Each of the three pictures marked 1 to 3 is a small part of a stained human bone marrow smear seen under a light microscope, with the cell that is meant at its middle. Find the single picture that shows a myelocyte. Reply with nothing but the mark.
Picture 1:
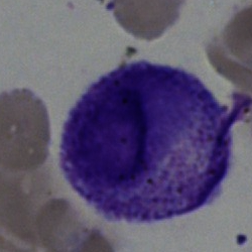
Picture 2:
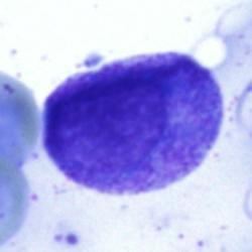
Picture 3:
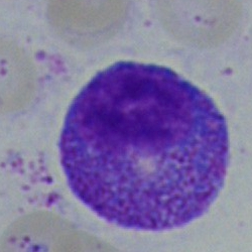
1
